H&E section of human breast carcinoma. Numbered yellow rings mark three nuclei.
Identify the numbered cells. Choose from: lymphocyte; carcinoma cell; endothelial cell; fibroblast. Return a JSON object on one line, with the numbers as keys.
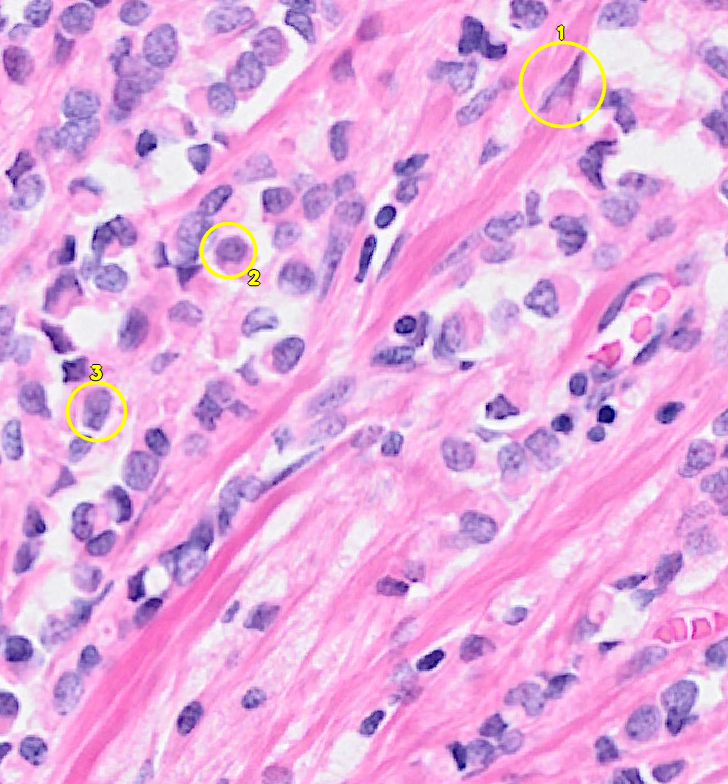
{"1": "fibroblast", "2": "carcinoma cell", "3": "carcinoma cell"}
